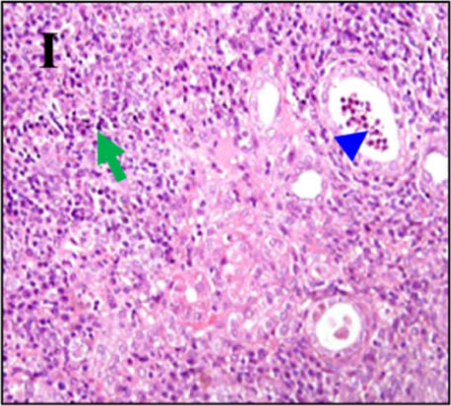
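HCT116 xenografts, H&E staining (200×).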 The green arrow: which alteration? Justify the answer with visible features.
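Lymphocyte infiltrations. The arrow points into a dense sheet of small cells with dark round nuclei and scant cytoplasm. These small dark cells crowd between and obscure the pink tissue structures over much of the left of the panel.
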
